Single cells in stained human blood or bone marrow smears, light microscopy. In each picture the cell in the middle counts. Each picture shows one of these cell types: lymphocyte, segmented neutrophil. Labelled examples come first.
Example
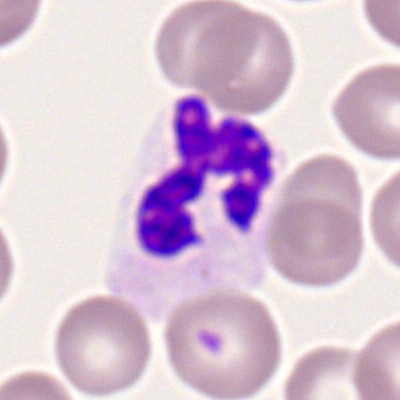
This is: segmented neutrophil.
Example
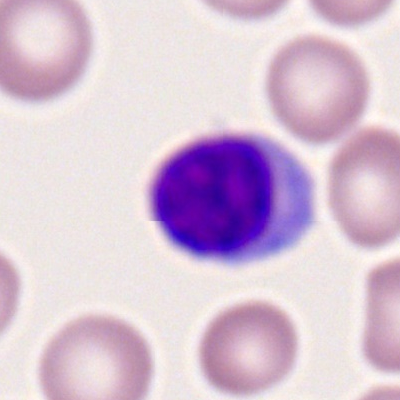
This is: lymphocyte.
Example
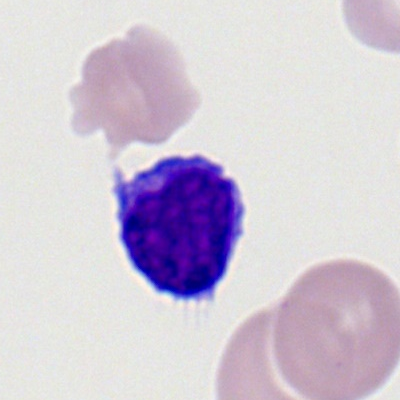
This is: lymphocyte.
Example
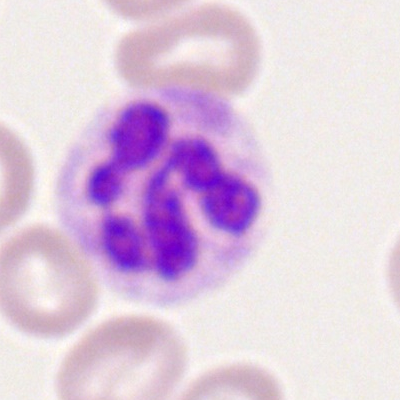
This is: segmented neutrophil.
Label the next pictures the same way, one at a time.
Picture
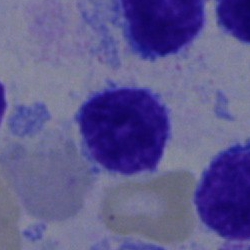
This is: lymphocyte.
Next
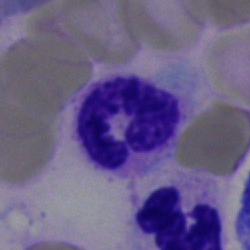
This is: segmented neutrophil.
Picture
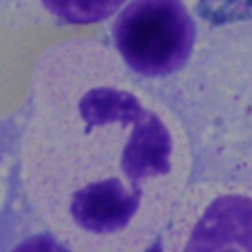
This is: segmented neutrophil.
